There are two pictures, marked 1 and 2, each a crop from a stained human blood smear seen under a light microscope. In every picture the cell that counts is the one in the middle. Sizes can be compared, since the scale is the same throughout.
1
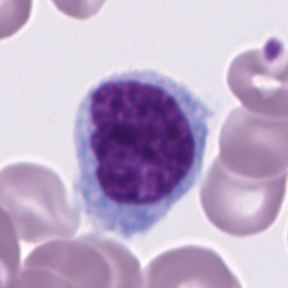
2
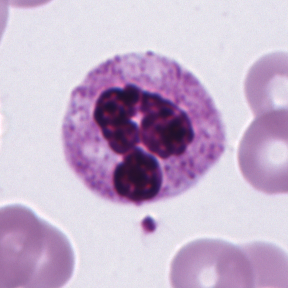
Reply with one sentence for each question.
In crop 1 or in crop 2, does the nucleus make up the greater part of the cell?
It is the cell in crop 1 that is filled more by its nucleus.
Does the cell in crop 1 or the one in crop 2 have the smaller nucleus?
The nucleus in crop 2 is smaller; the one in crop 1 has about 1.5 times its area.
